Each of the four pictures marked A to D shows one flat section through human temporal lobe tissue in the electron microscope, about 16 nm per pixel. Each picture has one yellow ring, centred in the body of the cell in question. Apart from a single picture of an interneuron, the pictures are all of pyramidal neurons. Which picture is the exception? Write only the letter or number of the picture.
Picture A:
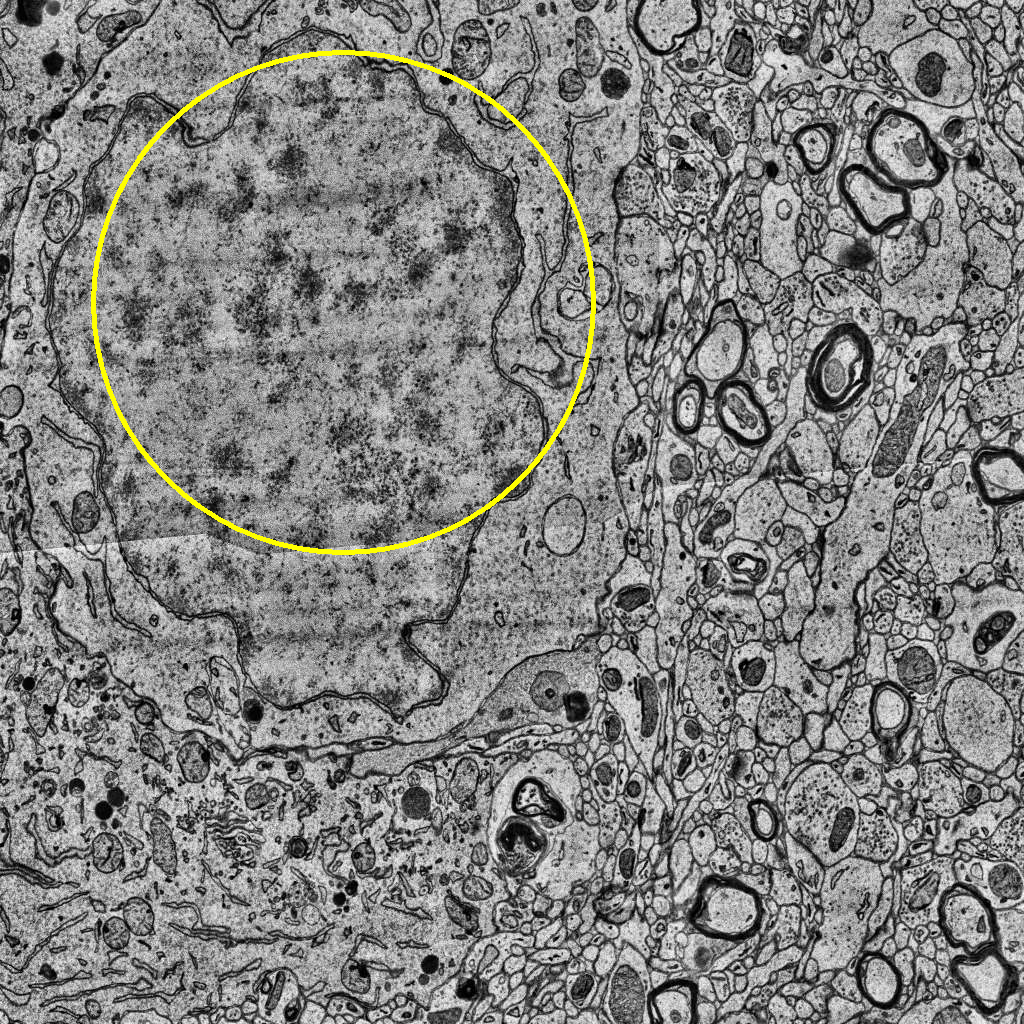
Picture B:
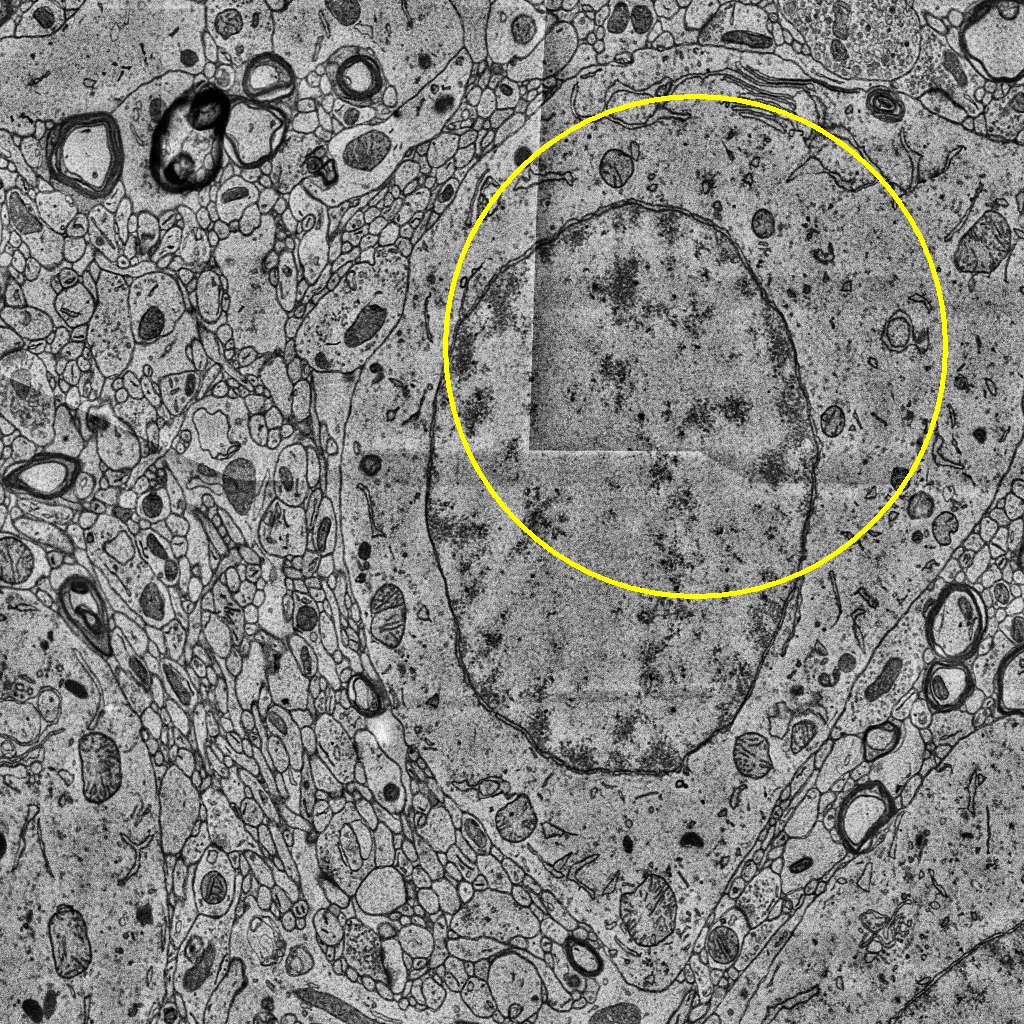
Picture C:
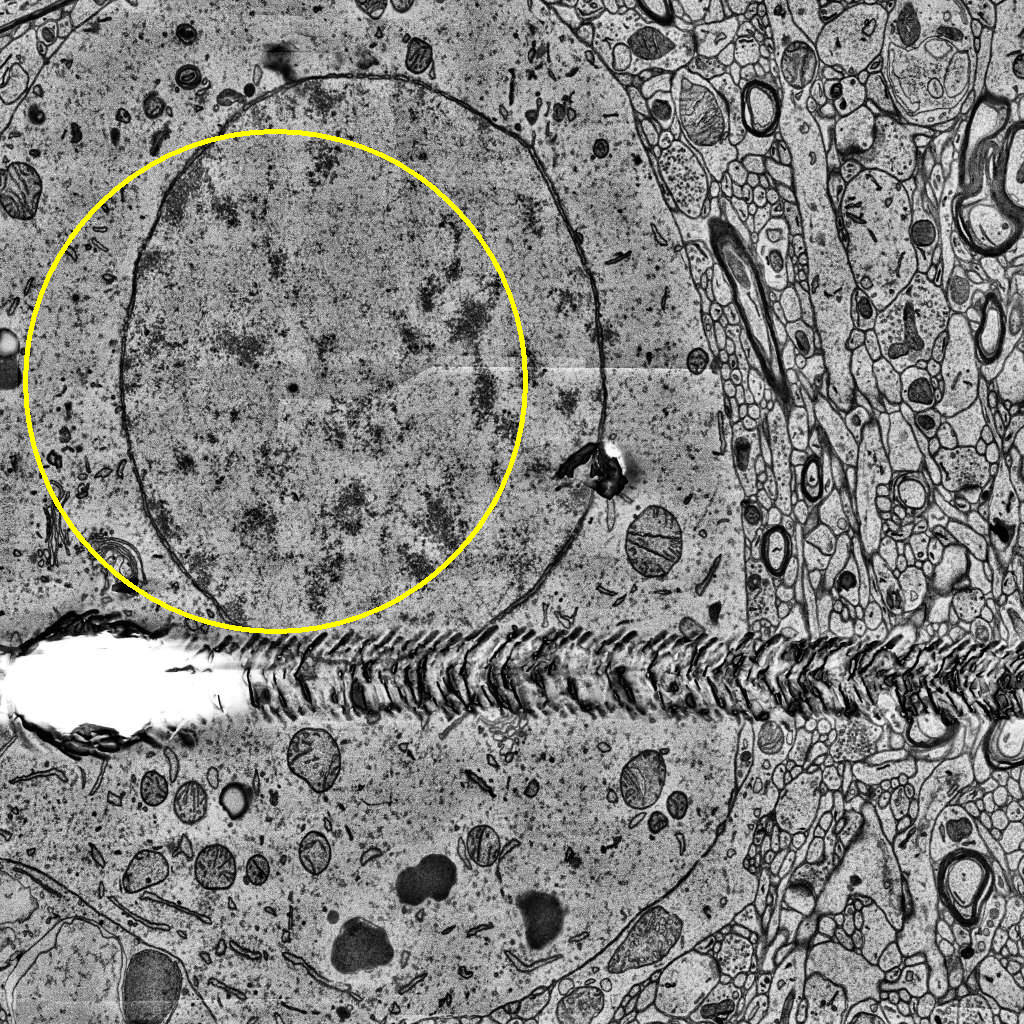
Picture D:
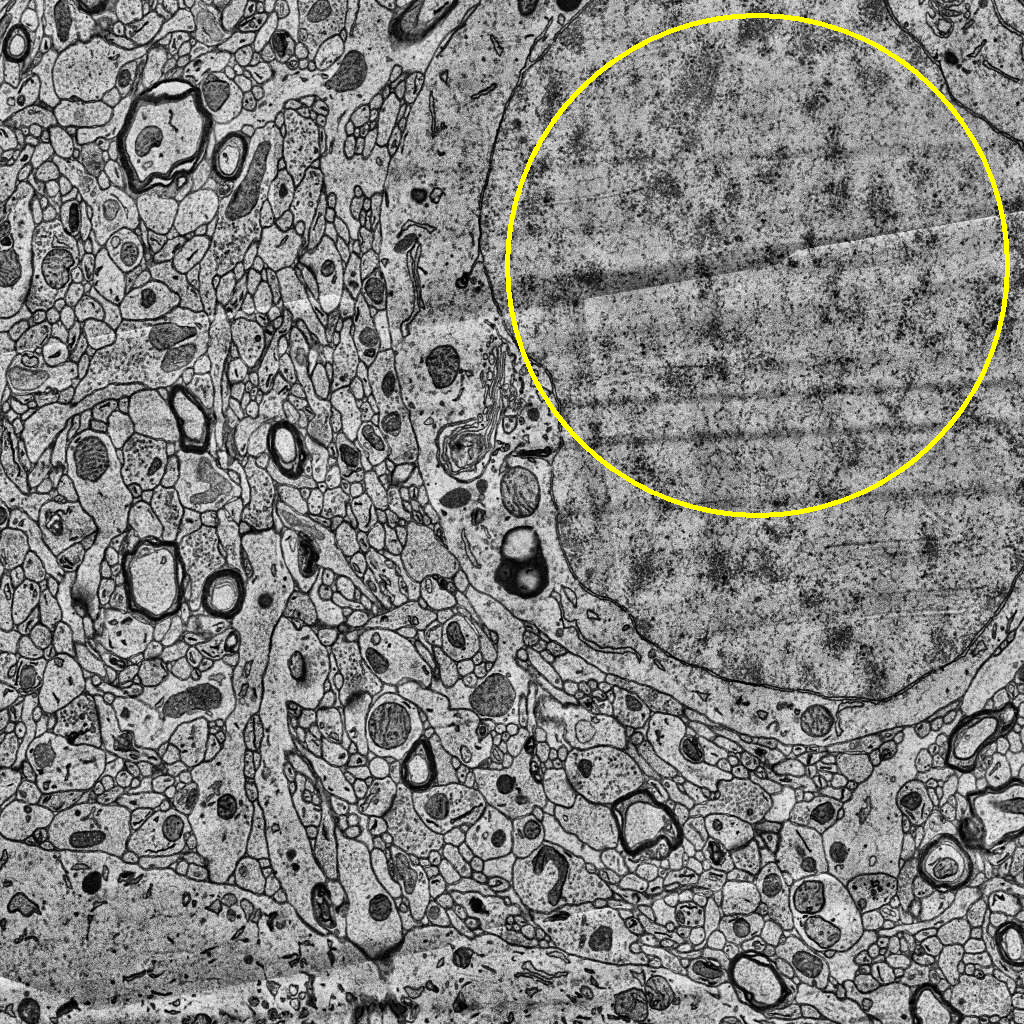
A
